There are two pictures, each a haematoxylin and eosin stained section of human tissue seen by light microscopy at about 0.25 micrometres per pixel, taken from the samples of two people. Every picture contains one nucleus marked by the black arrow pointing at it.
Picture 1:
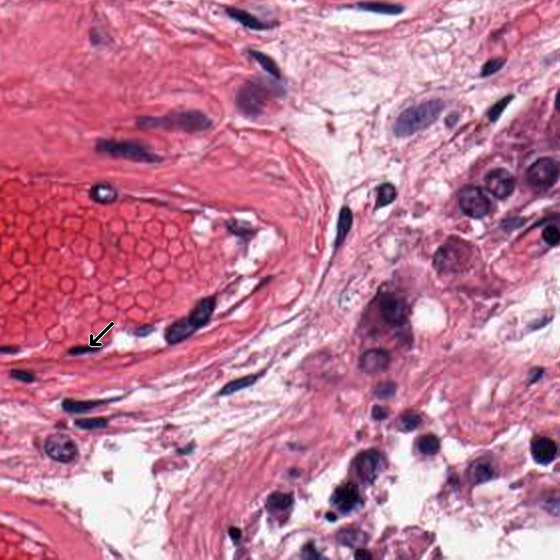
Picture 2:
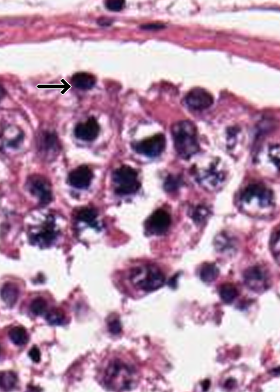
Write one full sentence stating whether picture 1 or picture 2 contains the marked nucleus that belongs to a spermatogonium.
The marked nucleus in picture 2 is a nucleus of a spermatogonium.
